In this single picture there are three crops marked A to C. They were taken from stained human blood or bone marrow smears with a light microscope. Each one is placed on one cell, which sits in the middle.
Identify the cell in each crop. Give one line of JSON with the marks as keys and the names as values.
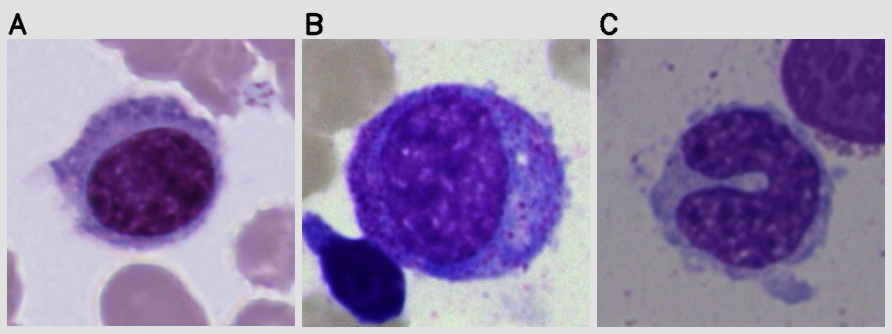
{"A": "plasma cell", "B": "promyelocyte", "C": "monocyte"}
